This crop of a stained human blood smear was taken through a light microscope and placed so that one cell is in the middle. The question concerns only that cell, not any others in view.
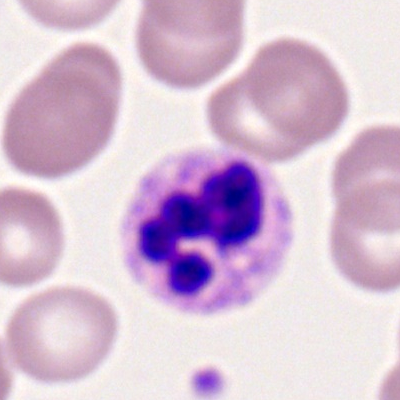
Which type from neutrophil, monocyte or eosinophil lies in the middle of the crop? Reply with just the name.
neutrophil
